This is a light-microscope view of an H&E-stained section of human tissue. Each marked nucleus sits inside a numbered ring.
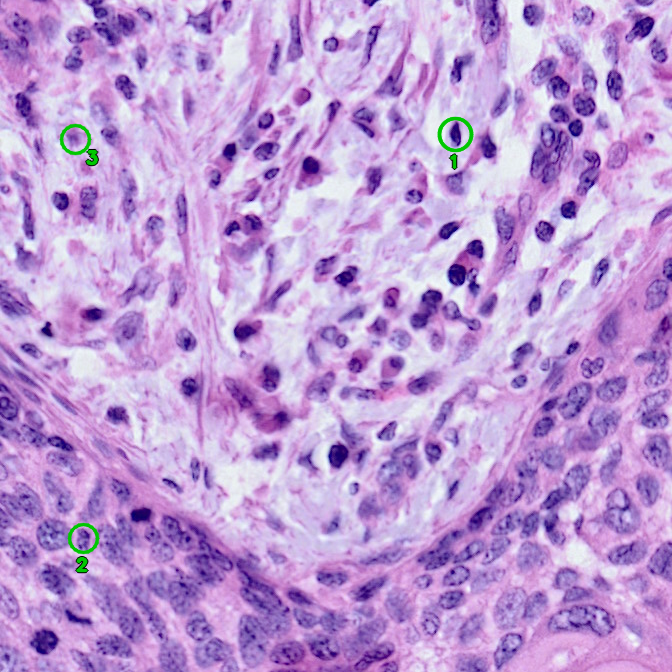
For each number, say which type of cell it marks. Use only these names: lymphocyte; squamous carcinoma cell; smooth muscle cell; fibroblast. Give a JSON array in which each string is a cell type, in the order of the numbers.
["lymphocyte", "squamous carcinoma cell", "fibroblast"]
